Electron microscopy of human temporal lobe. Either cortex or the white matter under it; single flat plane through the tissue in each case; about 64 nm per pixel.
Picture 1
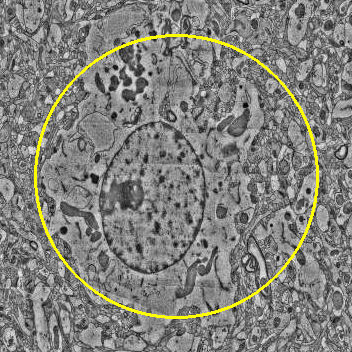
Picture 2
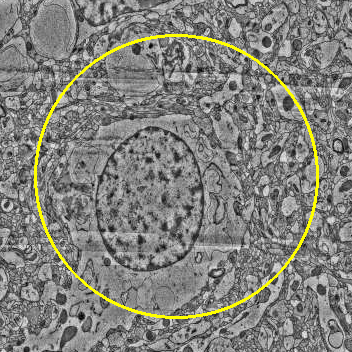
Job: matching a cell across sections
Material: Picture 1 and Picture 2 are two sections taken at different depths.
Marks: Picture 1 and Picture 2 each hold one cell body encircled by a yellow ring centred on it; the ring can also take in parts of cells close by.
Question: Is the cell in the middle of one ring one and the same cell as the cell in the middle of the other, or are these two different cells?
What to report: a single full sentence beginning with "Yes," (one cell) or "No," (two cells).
Yes, a single cell lies behind both yellow marks.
